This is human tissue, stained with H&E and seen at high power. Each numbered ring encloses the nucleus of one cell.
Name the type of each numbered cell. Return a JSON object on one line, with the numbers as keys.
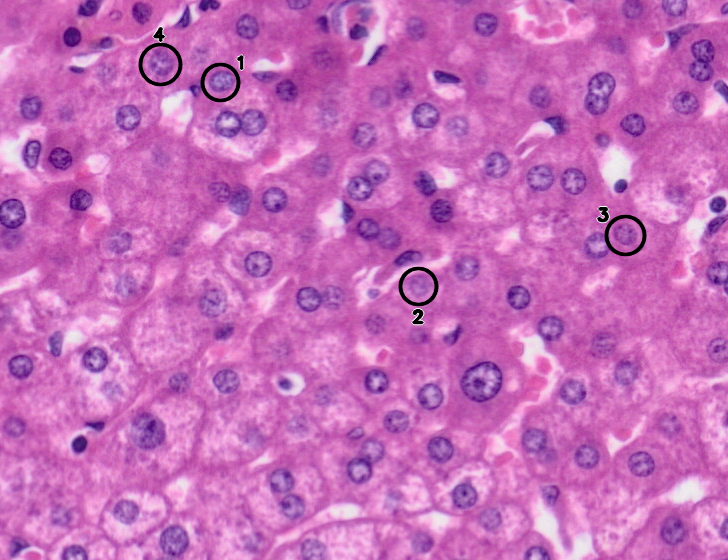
{"1": "cholangiocyte", "2": "hepatocyte", "3": "hepatocyte", "4": "hepatocyte"}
